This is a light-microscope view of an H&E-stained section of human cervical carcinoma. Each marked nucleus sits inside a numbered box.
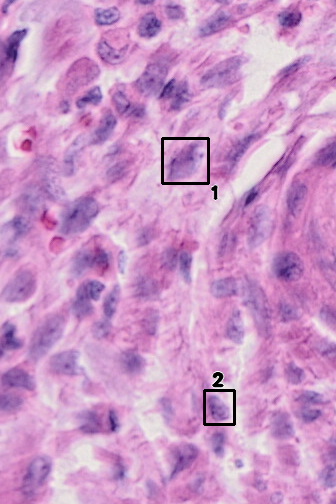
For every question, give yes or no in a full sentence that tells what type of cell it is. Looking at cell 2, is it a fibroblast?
No, a macrophage or monocyte is what cell 2 is, not a fibroblast.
